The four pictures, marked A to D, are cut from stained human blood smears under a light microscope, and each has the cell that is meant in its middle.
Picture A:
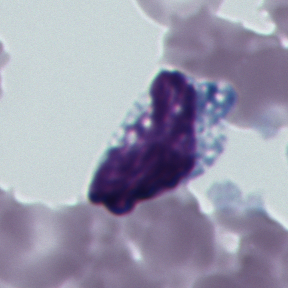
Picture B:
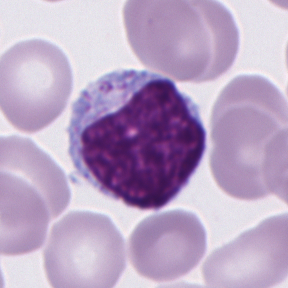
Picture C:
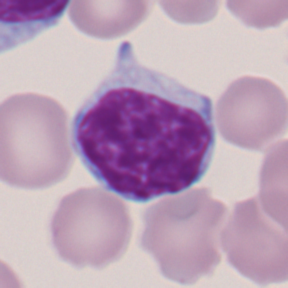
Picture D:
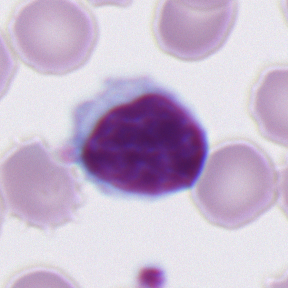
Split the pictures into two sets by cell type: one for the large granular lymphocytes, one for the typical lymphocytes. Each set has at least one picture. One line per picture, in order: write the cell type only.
typical lymphocyte
large granular lymphocyte
typical lymphocyte
typical lymphocyte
